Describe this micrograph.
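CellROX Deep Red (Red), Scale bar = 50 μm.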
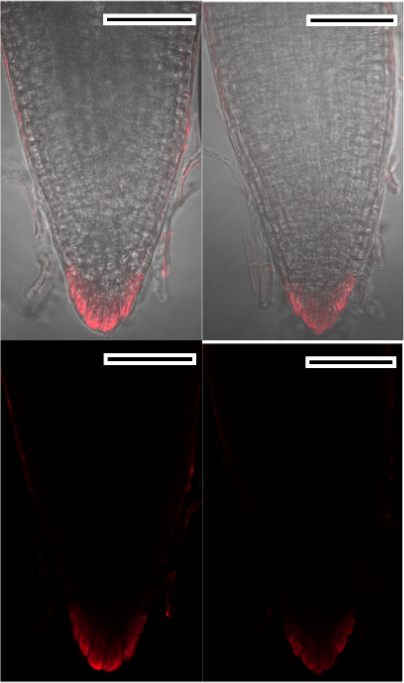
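In the grey images the root narrows to a rounded, blunt end, and its interior is filled with many small, tightly packed cells lined up in files that run toward the apex. Over the very end sits a cap of cells. The red fluorescence is strongest in this cap region at the extreme tip, forming a bright crescent, while the rest of the root is dark, with only faint red traces along the outer flanks.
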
